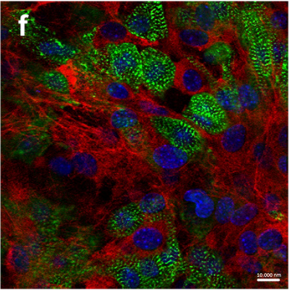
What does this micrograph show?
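These are cardiomyocytes lying among other cells in a small cardiac tissue: the green cells are filled with fine, regularly repeating cross-striations, the sarcomeres, and each holds a blue nucleus. Between them lie further blue nuclei of cells without green striations, and around these a red fibrous network spreads through the spaces of the tissue.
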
